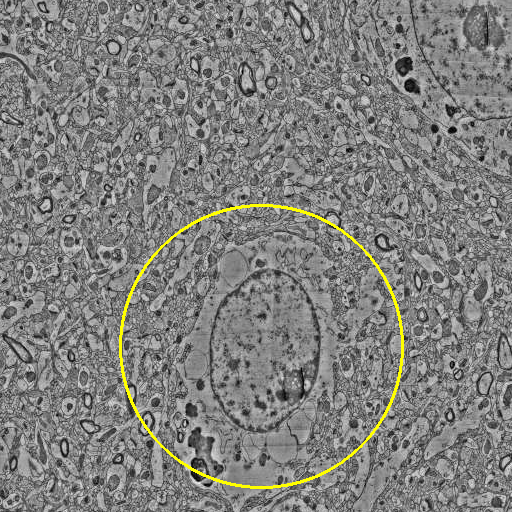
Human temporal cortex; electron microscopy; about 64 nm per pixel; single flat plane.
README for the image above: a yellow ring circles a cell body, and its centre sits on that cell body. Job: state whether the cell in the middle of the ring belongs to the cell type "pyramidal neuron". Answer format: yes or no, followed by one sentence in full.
No, in the image, the ring's central cell belongs to another type.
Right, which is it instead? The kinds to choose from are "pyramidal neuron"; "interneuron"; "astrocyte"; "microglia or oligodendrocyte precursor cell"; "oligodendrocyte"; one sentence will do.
It is an astrocyte at the centre of the ring.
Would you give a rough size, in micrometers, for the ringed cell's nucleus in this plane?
In this plane the nucleus measures roughly 10 by 7 micrometers.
